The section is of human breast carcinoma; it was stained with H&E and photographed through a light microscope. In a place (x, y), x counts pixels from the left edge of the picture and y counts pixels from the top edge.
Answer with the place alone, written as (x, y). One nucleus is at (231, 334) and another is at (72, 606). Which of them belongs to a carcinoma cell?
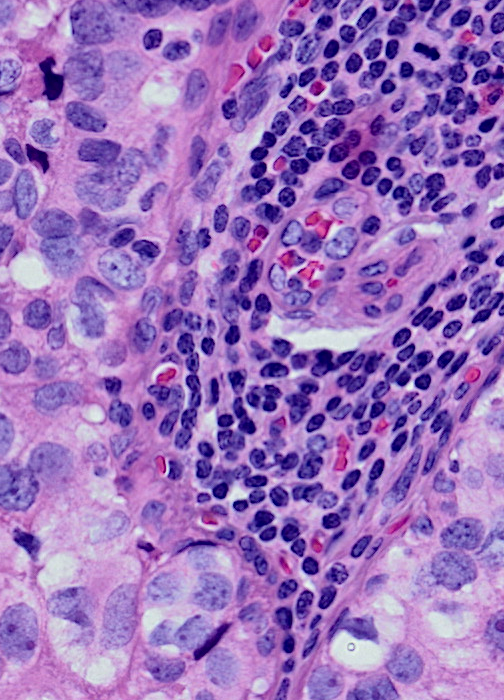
(72, 606)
